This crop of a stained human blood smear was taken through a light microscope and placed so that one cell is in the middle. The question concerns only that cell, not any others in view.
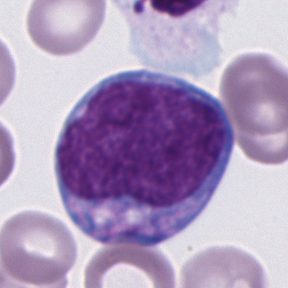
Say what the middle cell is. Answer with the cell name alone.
promyelocyte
